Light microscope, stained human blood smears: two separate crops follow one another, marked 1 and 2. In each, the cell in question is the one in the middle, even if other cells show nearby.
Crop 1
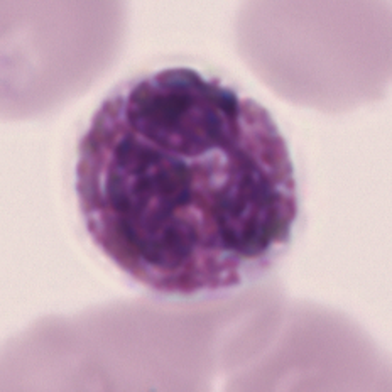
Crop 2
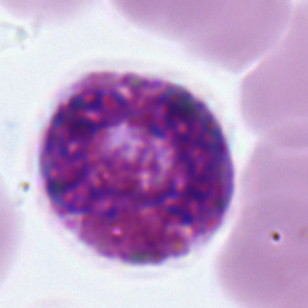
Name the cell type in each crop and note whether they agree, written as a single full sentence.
Yes, both of the crops show eosinophils.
